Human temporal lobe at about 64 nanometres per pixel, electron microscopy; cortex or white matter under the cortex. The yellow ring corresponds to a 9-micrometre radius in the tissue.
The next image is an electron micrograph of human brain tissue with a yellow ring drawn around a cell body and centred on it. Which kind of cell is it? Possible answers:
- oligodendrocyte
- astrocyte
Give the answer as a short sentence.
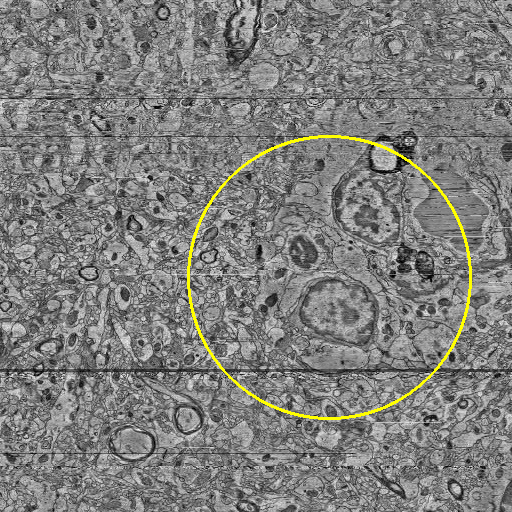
In the ring's centre is an oligodendrocyte.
